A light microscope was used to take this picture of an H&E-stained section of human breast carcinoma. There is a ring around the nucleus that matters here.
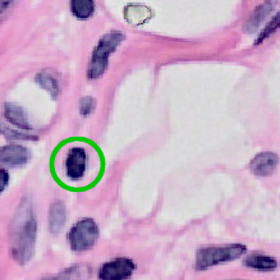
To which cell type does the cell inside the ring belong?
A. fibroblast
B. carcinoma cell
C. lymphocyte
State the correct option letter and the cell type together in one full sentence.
Option C is correct here; the cell inside the ring is a lymphocyte.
